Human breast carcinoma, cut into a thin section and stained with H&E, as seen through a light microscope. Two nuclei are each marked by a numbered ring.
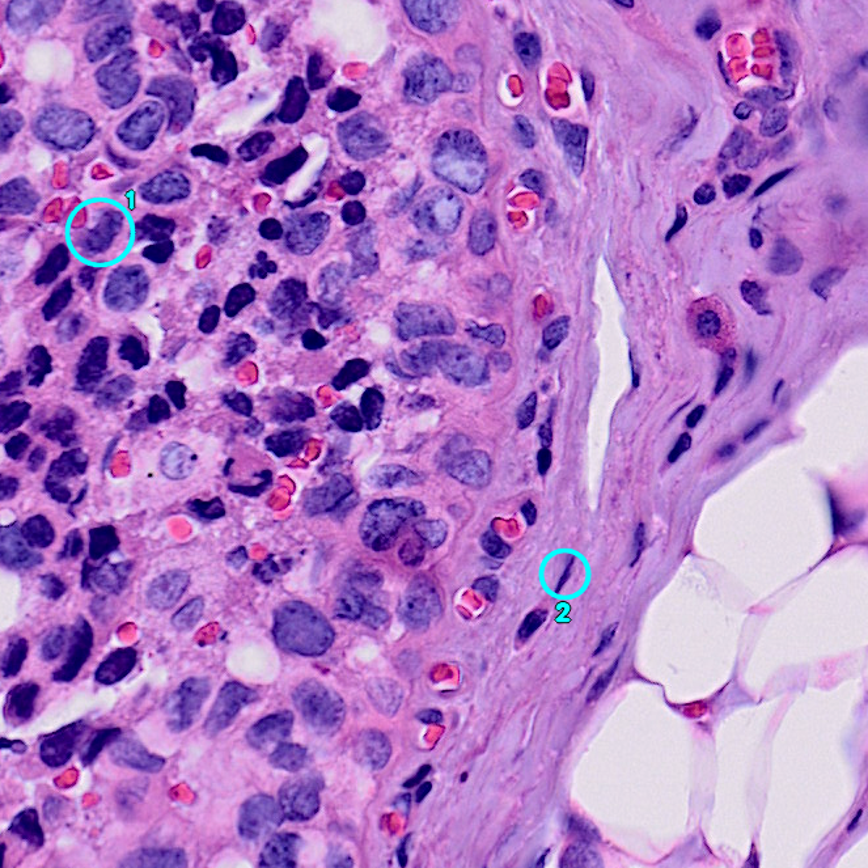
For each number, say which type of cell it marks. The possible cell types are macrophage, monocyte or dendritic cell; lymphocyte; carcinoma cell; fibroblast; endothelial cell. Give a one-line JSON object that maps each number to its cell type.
{"1": "carcinoma cell", "2": "fibroblast"}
